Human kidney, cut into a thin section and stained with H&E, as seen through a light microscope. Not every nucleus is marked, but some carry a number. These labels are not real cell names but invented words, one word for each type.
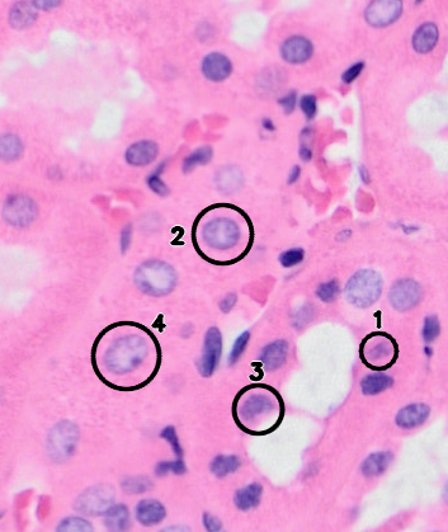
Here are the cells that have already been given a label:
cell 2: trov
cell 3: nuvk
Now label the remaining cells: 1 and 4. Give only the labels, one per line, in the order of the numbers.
nuvk
trov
